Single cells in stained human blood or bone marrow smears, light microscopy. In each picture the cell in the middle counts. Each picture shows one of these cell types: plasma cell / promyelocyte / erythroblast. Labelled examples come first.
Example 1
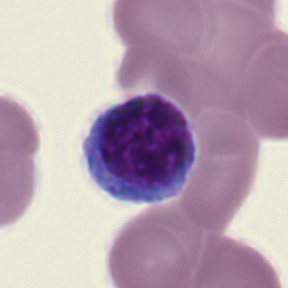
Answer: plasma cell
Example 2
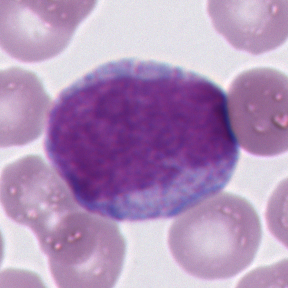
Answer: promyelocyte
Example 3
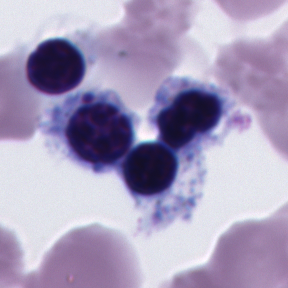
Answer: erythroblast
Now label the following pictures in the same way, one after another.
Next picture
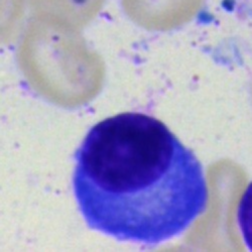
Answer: plasma cell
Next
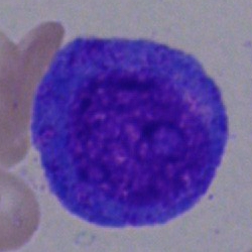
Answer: promyelocyte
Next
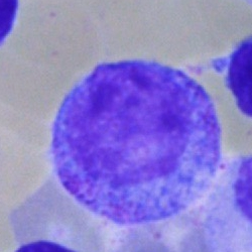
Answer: promyelocyte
